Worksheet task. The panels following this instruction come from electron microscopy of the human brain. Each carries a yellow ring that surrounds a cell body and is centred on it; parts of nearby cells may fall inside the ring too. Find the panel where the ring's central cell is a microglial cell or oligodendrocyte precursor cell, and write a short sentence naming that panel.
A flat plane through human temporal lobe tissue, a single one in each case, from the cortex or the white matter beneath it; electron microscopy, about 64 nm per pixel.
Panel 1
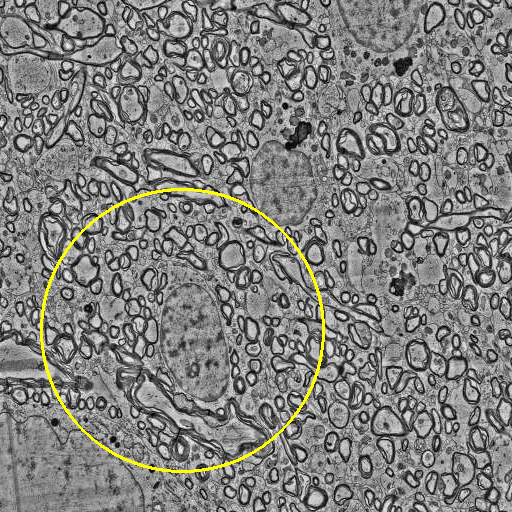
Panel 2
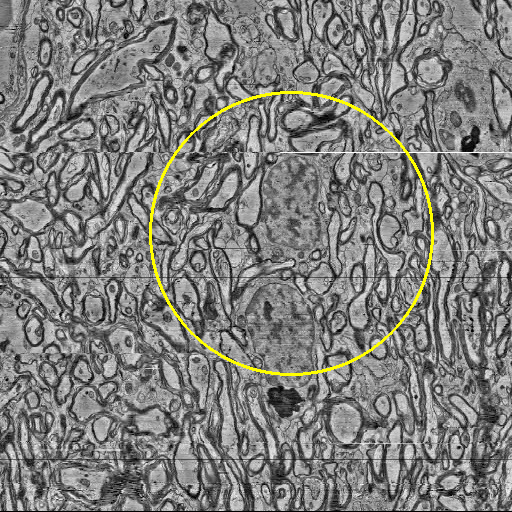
The cell sought is in Panel 1.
